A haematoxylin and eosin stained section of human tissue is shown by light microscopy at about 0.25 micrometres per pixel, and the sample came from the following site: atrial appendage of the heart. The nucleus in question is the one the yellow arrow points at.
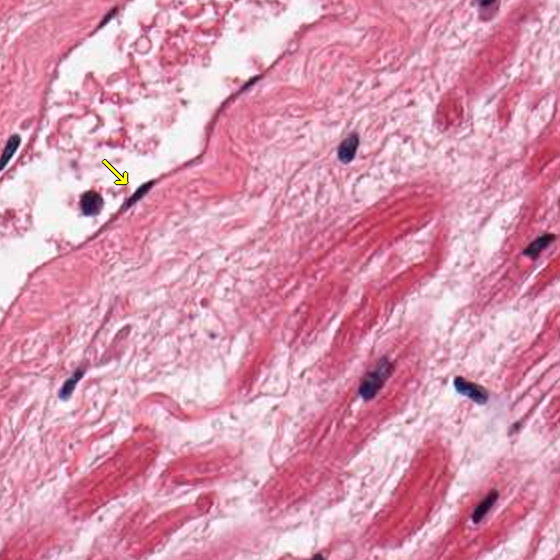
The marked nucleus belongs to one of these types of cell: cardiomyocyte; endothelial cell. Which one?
endothelial cell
